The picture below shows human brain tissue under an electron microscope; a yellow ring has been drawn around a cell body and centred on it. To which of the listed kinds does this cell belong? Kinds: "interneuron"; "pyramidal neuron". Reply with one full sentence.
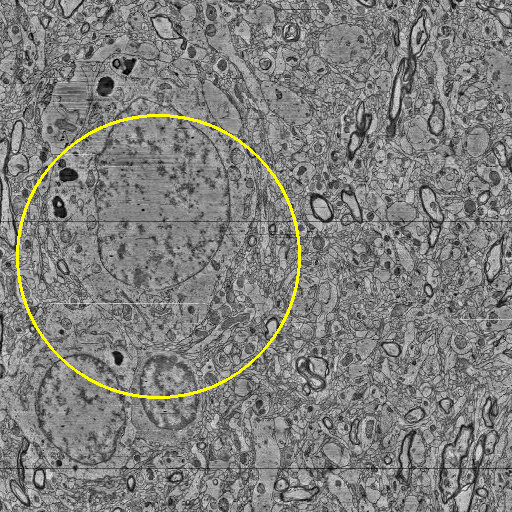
It is a pyramidal neuron that the yellow ring in the picture is centred on.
